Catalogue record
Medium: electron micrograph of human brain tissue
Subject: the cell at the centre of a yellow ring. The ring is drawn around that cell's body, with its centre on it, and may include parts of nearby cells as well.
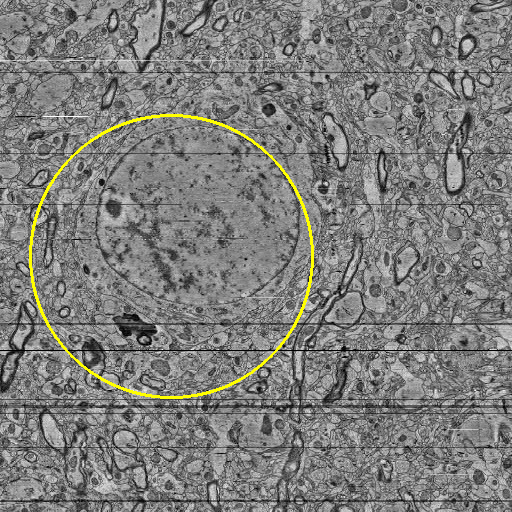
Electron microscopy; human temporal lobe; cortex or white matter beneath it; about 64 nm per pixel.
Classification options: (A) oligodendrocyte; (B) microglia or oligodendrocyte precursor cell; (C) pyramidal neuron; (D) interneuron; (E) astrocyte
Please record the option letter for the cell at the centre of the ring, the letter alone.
C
